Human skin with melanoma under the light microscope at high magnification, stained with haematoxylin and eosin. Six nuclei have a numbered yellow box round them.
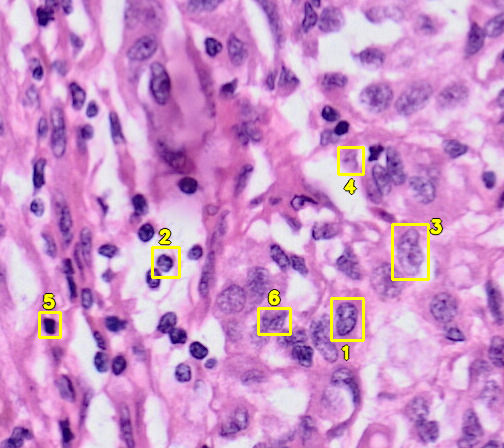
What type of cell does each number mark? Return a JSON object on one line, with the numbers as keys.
{"1": "melanoma cell", "2": "lymphocyte", "3": "melanoma cell", "4": "melanoma cell", "5": "lymphocyte", "6": "melanoma cell"}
